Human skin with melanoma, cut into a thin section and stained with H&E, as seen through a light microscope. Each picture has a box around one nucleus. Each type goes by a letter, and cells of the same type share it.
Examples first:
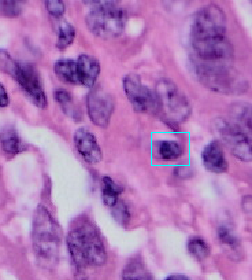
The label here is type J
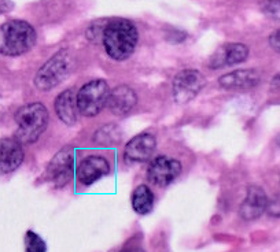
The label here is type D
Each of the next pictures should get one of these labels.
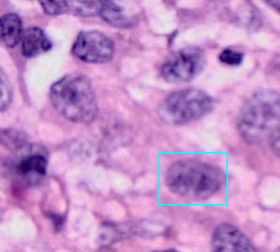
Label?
type D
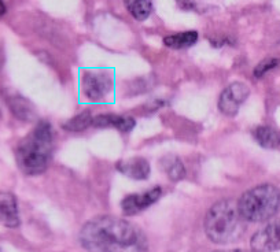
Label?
type D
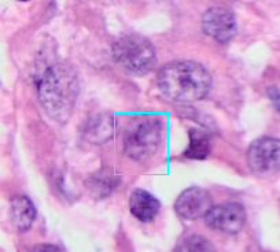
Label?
type D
